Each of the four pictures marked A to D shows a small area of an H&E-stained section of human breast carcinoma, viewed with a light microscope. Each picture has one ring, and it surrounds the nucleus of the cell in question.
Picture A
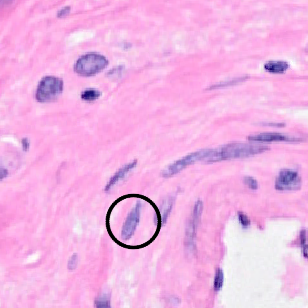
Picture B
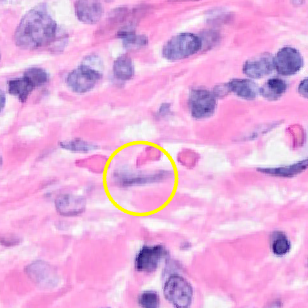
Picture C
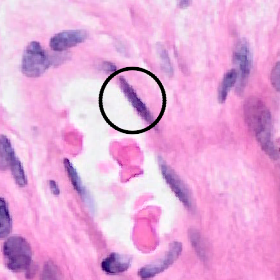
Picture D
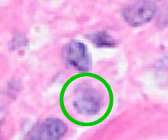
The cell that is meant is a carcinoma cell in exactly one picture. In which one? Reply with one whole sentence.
The cell in picture D is the carcinoma cell.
